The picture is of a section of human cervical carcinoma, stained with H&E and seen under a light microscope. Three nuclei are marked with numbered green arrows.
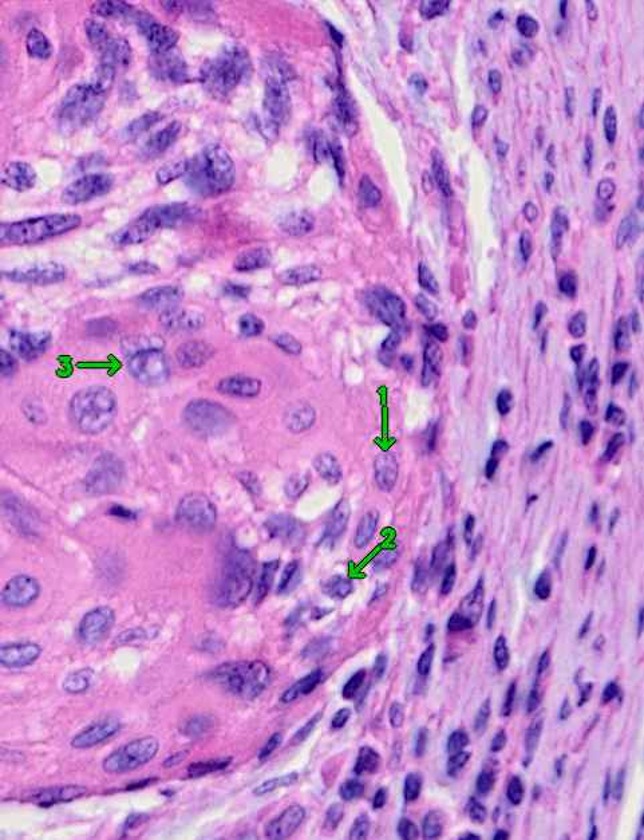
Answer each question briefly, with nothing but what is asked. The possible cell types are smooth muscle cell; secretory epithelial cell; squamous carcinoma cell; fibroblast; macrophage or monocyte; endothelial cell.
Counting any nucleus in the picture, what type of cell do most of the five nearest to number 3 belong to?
squamous carcinoma cell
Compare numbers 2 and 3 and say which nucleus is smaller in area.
2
